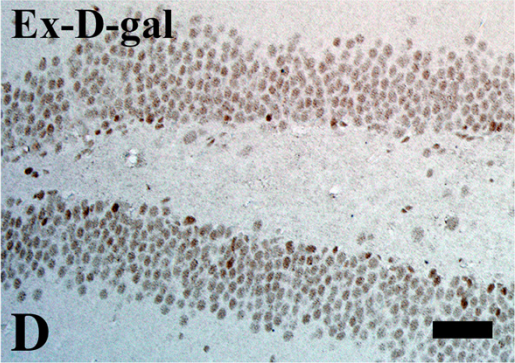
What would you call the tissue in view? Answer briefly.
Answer: Dentate gyrus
